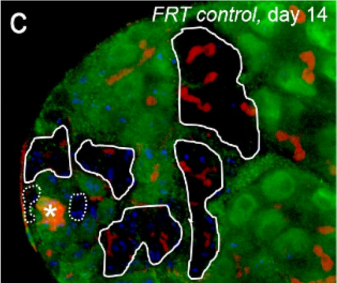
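Apical region of a testis with a small red hub cluster at the left tip, marked by an asterisk. Small dashed-outlined patches lacking green sit next to the hub, while several large solid-outlined cysts of spermatogonia lacking green lie further back. Remaining cells carry green cytoplasm and scattered red fusome fragments.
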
